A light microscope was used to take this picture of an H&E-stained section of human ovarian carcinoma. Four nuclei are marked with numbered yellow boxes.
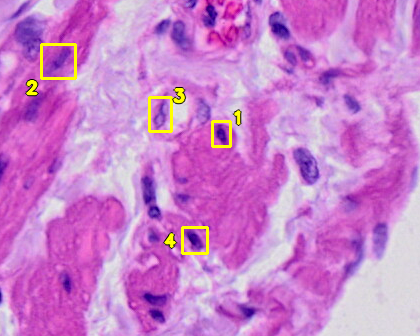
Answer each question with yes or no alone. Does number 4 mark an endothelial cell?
no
